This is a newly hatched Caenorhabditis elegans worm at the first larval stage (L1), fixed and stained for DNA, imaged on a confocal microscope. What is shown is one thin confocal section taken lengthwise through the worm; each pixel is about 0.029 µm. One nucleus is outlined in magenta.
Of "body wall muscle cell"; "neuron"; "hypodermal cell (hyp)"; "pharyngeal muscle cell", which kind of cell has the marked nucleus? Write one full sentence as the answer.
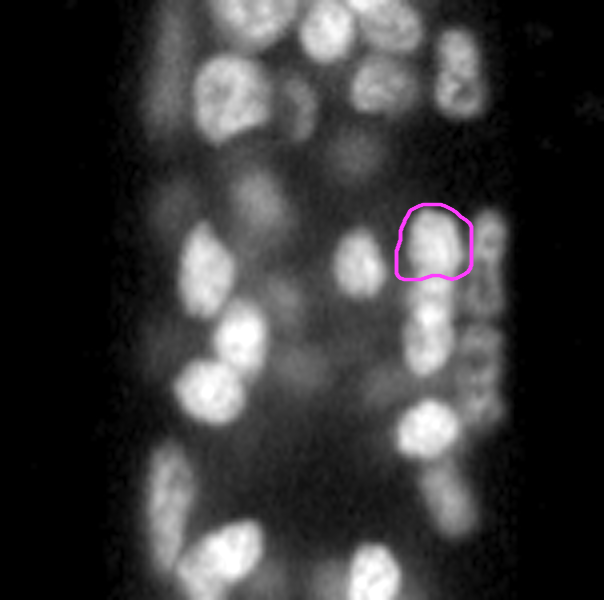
What is marked is the nucleus of a neuron.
